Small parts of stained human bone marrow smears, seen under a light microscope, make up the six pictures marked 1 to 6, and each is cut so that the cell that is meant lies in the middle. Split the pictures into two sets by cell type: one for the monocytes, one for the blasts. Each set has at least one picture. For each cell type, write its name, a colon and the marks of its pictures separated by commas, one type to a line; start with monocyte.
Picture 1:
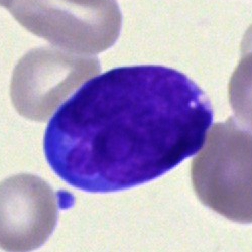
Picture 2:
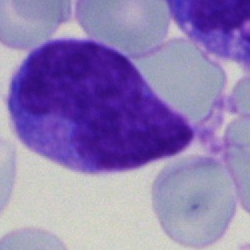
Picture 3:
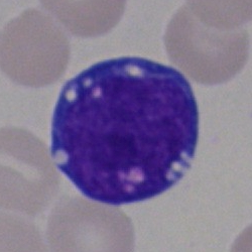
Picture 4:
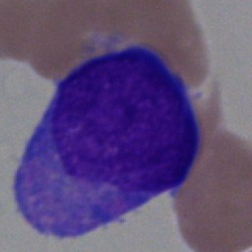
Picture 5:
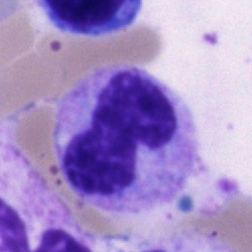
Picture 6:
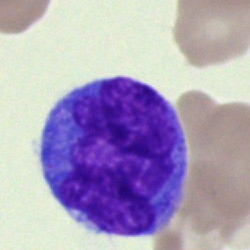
monocyte: 5, 6
blast: 1, 2, 3, 4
